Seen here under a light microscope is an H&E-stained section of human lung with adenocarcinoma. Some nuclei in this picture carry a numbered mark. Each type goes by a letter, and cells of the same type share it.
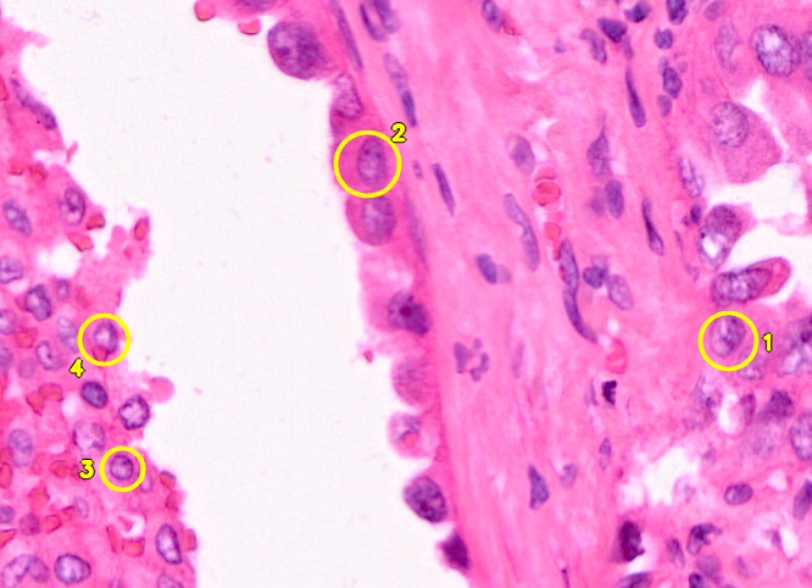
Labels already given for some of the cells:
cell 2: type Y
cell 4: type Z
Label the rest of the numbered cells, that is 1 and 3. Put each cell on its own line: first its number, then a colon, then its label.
1: type Y
3: type Z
